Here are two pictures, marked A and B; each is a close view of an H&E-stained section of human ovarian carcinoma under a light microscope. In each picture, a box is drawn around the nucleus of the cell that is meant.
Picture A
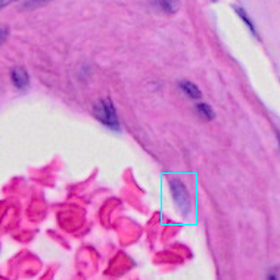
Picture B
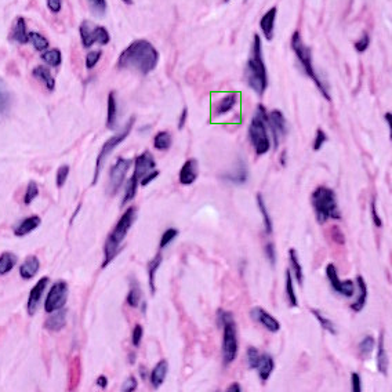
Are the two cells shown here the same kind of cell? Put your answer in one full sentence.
No, the types are not the same, since picture A shows an endothelial cell and picture B a smooth muscle cell.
